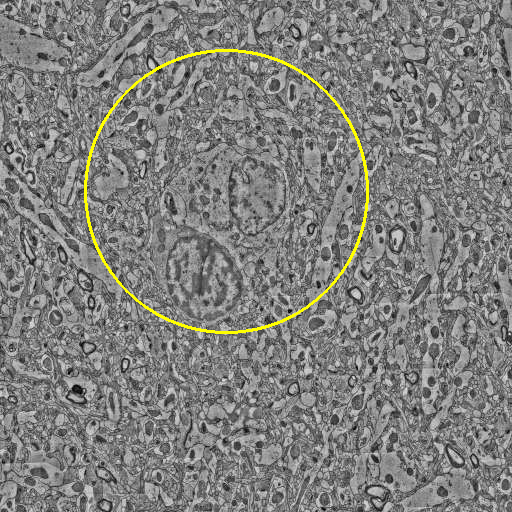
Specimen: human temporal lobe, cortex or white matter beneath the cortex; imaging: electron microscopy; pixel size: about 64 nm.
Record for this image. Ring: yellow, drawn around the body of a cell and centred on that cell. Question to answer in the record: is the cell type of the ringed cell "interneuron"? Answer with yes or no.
yes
